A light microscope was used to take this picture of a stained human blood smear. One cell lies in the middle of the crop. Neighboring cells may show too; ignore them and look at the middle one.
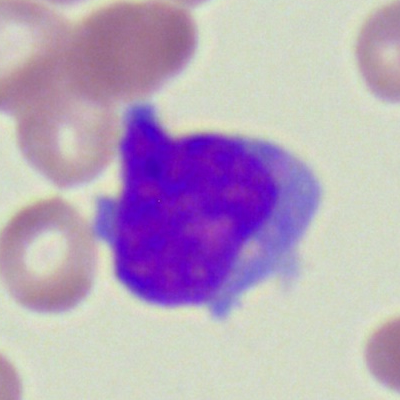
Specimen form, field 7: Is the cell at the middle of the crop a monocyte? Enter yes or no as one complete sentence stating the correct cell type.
Yes, the middle of the crop is occupied by a monocyte.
